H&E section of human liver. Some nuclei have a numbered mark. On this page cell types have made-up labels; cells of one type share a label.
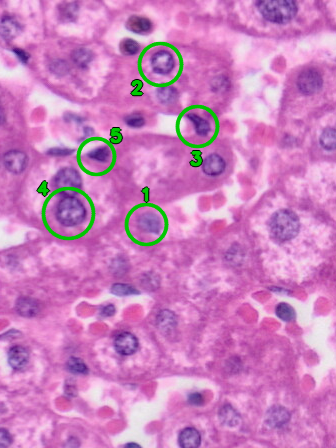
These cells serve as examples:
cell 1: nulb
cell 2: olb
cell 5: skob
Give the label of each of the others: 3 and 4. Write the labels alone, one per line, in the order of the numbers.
skob
olb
